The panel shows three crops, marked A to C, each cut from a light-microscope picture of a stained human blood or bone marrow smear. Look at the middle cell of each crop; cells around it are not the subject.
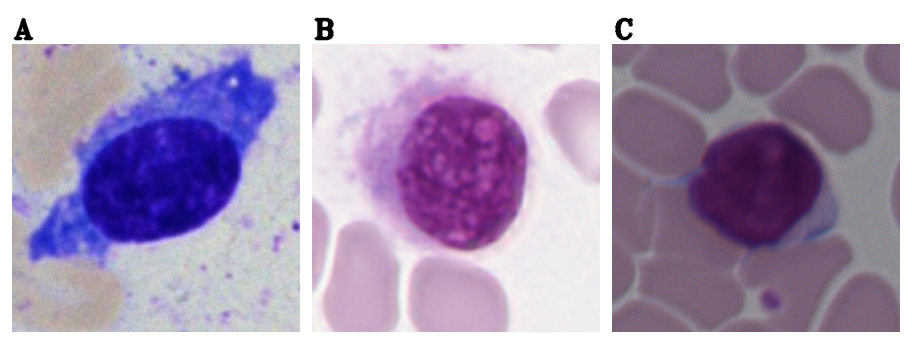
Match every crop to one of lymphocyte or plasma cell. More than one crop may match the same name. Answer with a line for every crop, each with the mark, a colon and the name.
A: plasma cell
B: plasma cell
C: lymphocyte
